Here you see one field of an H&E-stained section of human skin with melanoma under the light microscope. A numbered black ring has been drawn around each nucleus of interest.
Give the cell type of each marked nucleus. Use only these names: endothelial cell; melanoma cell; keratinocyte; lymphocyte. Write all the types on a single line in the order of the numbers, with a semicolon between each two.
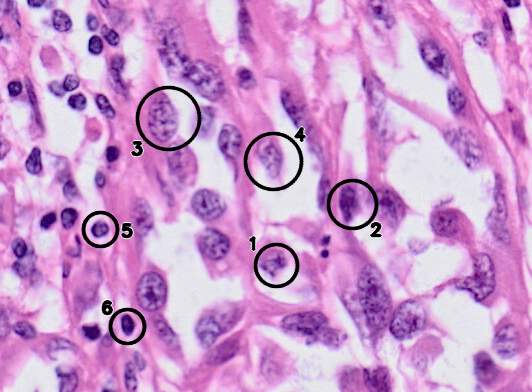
melanoma cell; melanoma cell; melanoma cell; melanoma cell; lymphocyte; lymphocyte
